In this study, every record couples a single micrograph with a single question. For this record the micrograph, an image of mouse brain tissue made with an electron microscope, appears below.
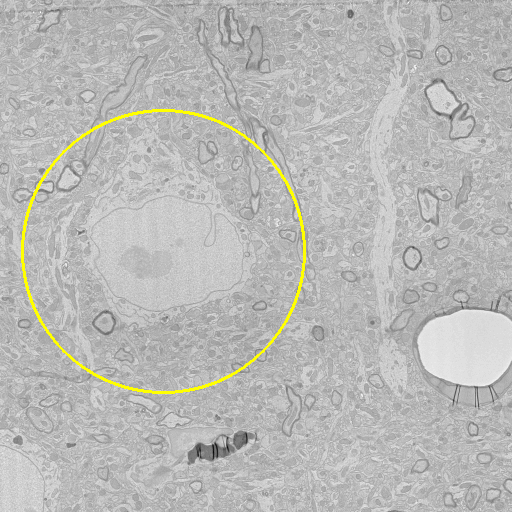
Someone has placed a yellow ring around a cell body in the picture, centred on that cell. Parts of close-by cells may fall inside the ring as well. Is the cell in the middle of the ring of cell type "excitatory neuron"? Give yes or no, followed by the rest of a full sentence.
Yes, the cell centred in the ring shown in the picture does have that cell type.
